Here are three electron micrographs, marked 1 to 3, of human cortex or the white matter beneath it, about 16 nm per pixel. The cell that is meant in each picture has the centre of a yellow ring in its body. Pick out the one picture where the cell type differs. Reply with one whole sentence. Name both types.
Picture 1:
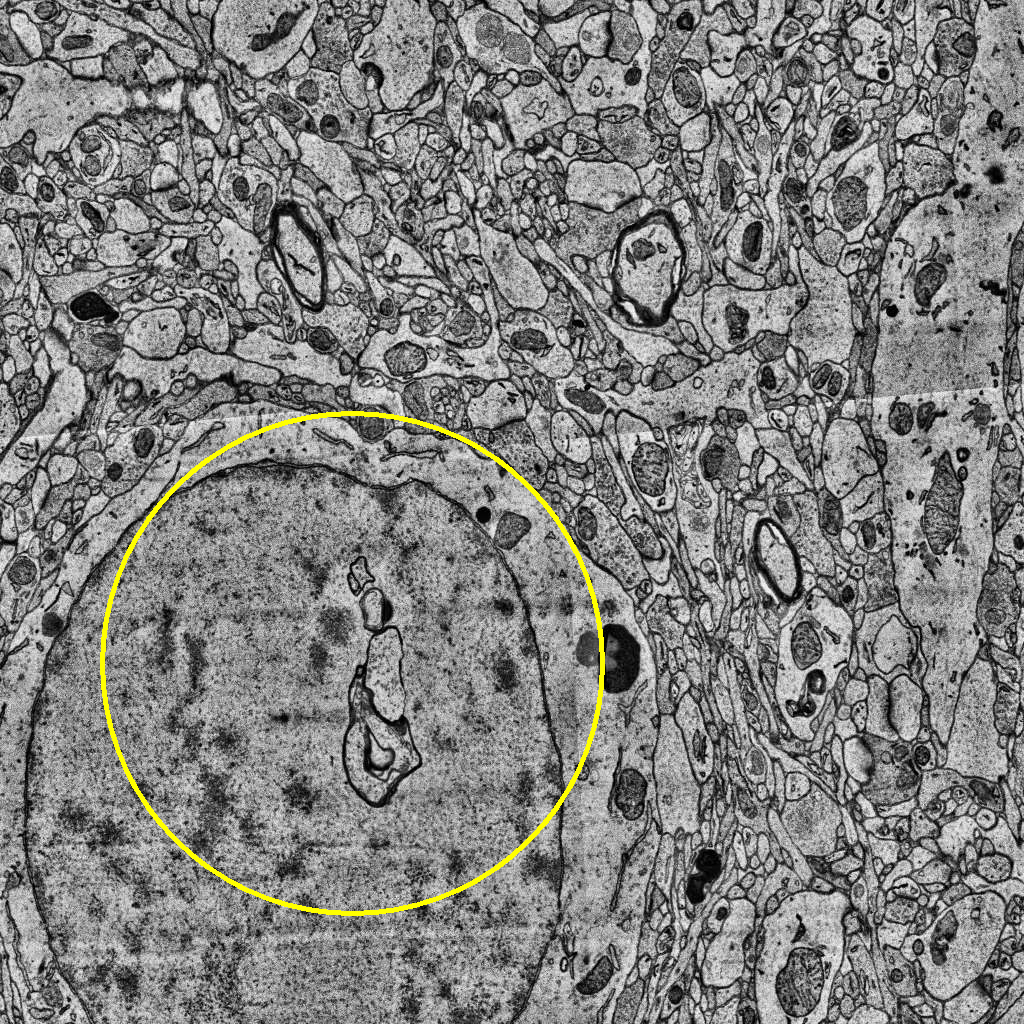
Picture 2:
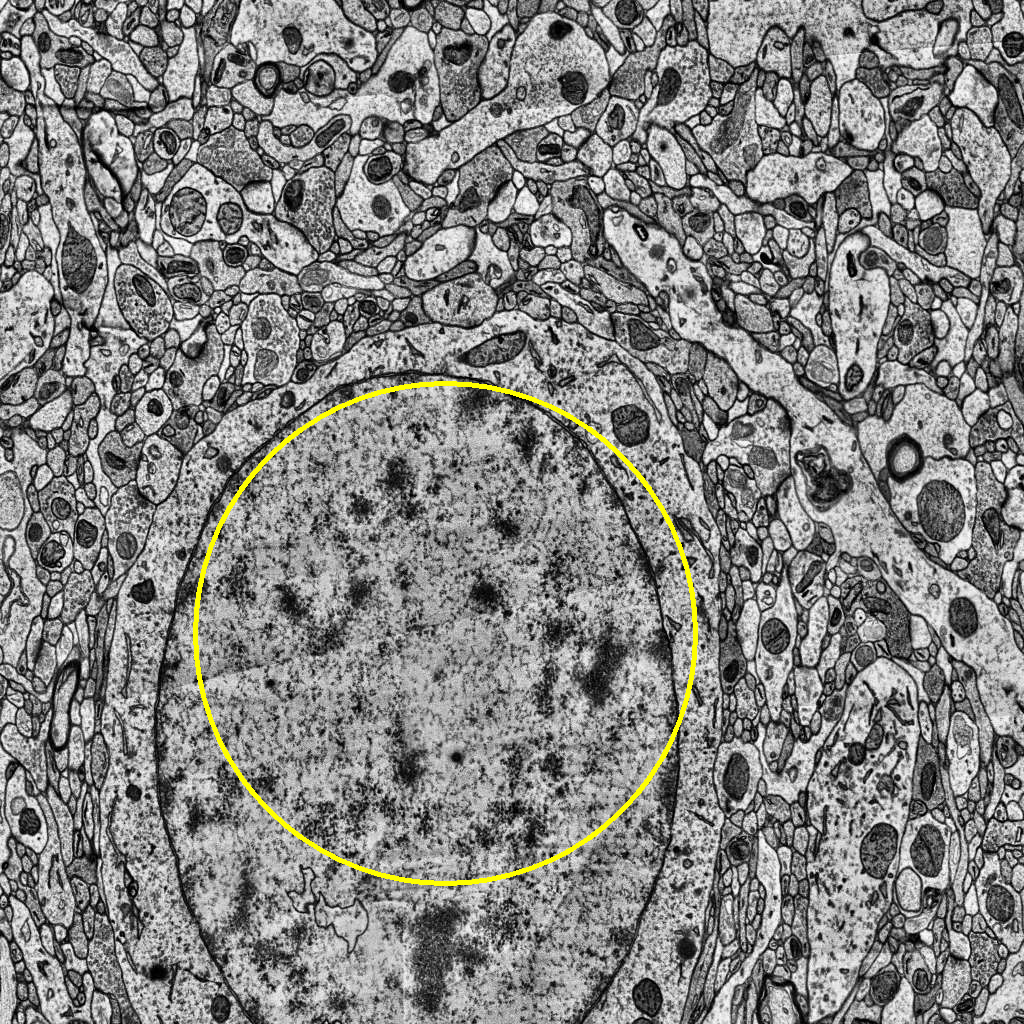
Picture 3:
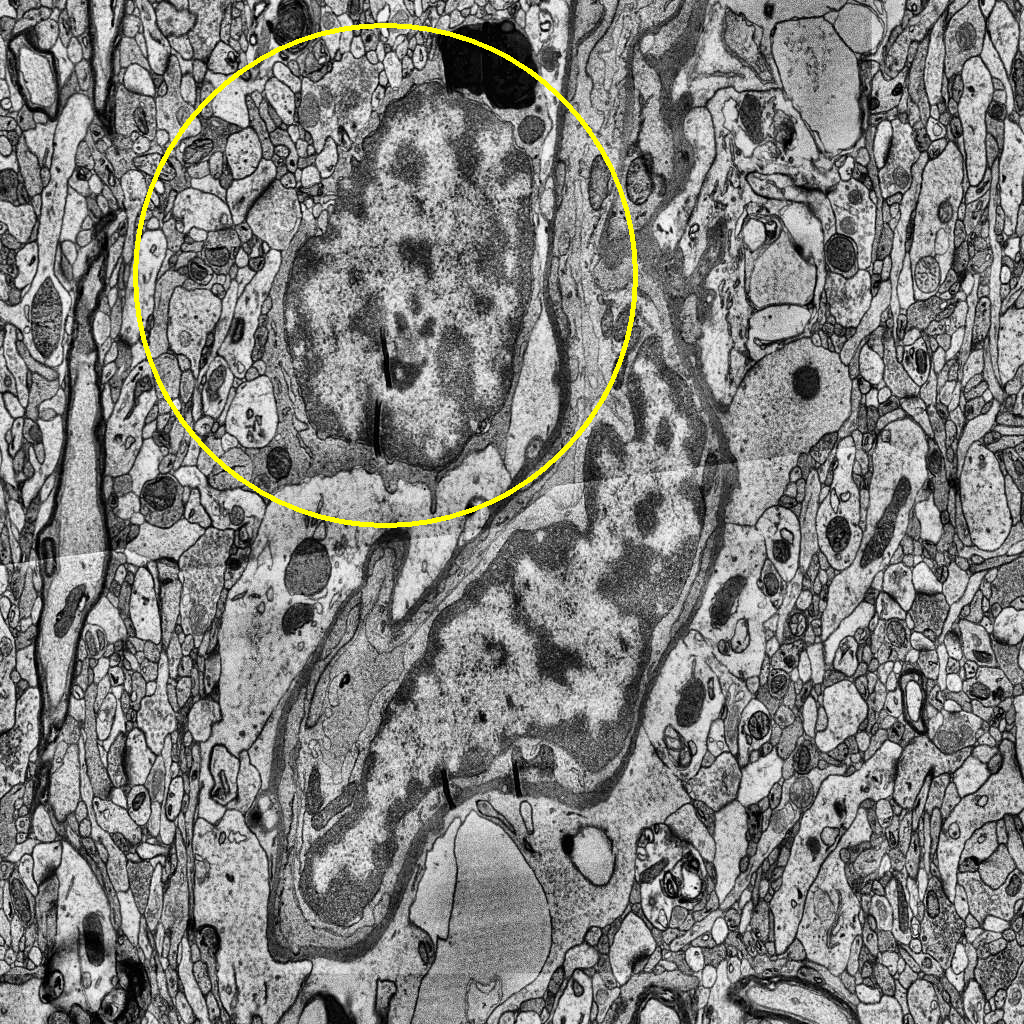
The others show pyramidal neurons, but picture 3 shows an oligodendrocyte.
